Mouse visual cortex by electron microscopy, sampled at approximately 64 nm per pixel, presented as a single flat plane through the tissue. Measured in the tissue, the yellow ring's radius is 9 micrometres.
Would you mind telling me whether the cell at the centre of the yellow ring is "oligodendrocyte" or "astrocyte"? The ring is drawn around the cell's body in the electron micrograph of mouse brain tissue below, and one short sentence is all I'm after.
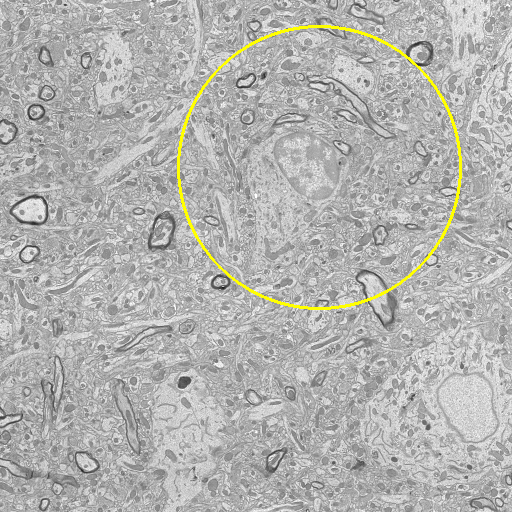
In the centre of the ring lies an oligodendrocyte.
